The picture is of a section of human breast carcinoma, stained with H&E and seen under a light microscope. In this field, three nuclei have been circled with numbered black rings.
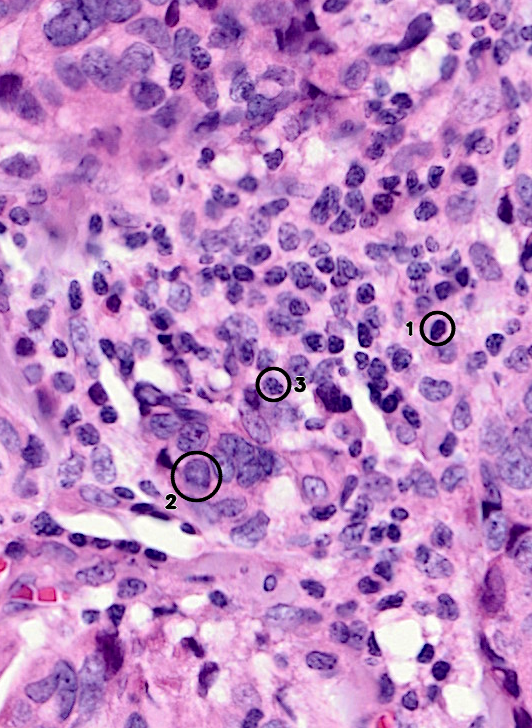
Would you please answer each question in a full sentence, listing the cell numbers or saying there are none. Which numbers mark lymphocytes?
Cells numbered 1 and 3 belong to the group of lymphocytes.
